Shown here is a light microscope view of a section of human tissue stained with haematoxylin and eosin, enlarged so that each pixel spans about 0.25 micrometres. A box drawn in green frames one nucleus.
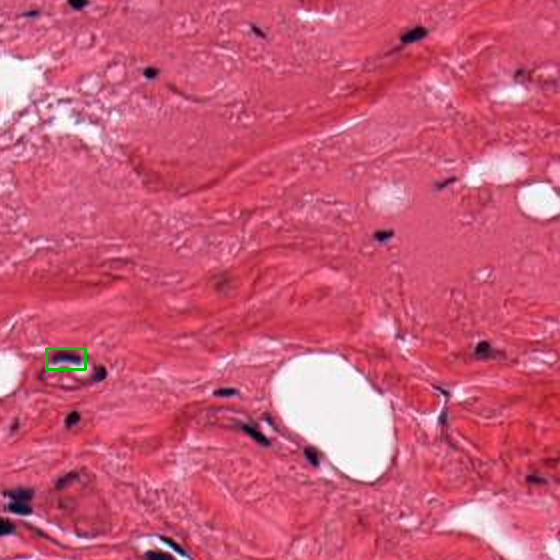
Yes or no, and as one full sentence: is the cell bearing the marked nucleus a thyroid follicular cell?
No, instead of being part of a thyroid follicular cell, the marked nucleus is part of a supporting cell.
